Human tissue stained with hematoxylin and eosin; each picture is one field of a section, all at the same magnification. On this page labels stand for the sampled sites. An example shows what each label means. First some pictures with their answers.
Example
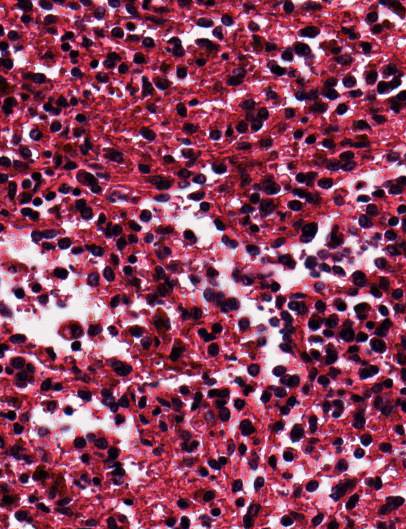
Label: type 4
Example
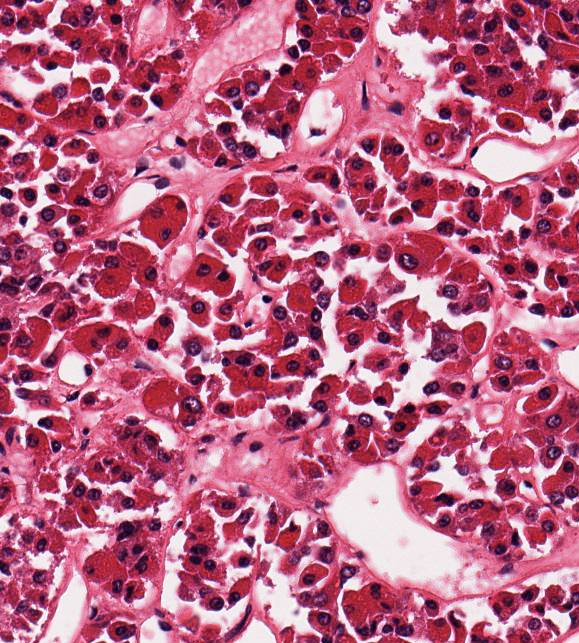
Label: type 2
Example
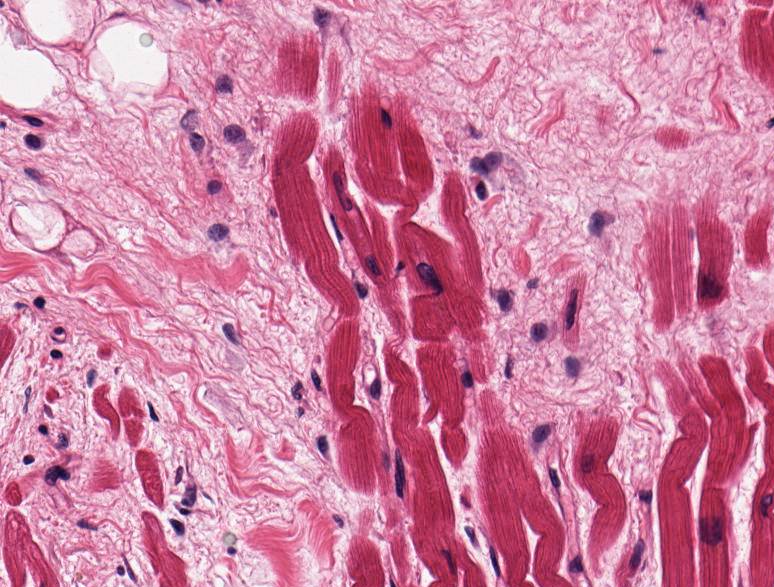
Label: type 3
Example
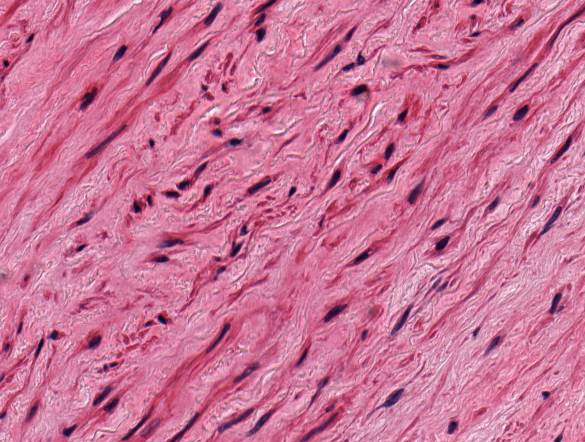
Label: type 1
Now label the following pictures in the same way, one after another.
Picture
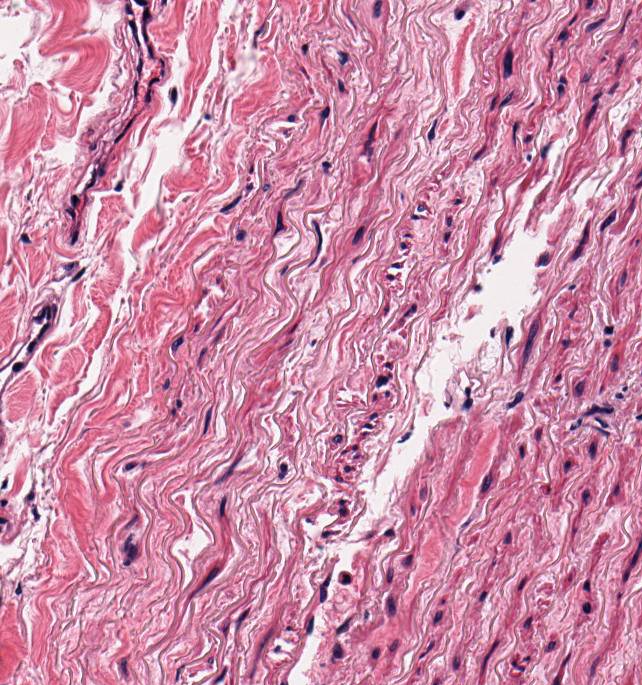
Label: type 1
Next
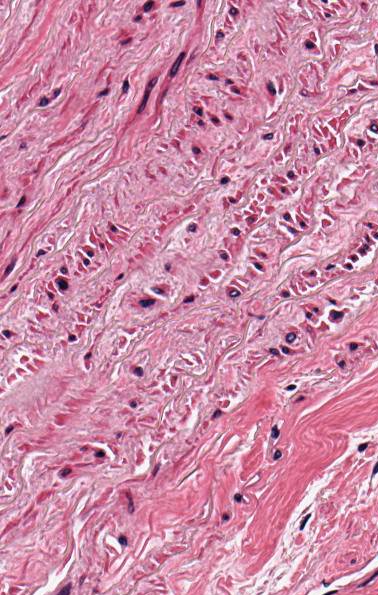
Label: type 1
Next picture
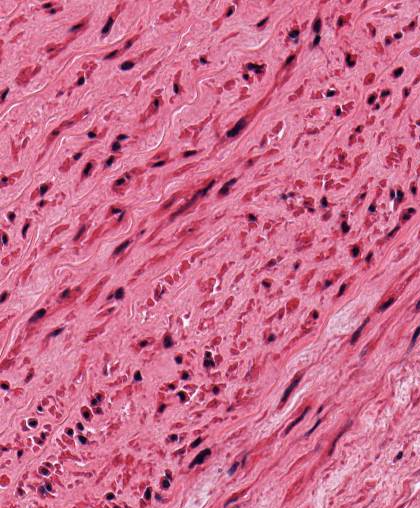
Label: type 1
